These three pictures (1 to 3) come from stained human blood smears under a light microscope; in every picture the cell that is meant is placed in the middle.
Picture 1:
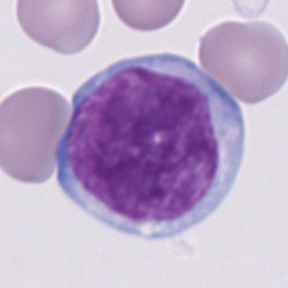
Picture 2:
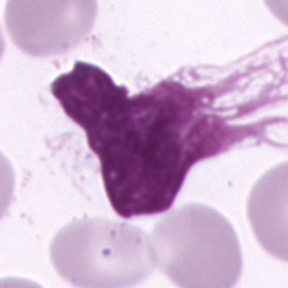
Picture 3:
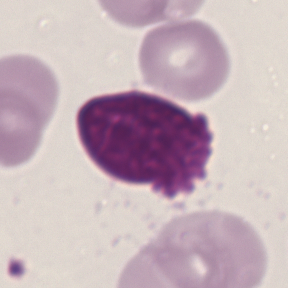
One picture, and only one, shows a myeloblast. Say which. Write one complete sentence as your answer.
The myeloblast is the one in picture 1.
